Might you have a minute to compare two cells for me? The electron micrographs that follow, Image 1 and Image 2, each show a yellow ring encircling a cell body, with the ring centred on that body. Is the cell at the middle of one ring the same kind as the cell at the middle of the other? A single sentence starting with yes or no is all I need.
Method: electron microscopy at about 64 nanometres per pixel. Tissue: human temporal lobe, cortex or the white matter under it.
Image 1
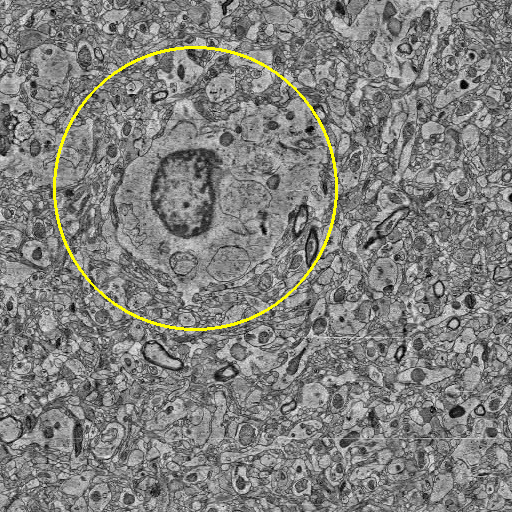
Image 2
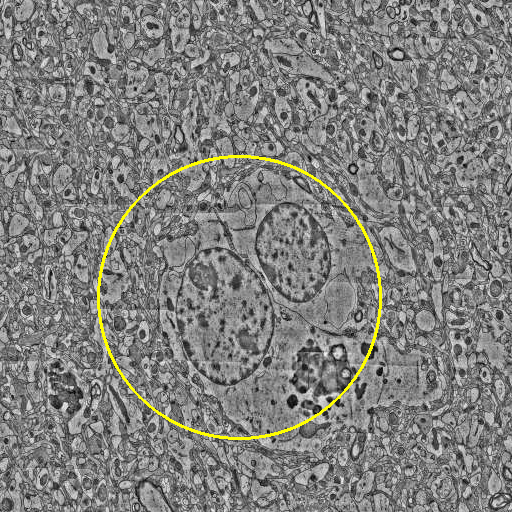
Yes, the cells in the middle of the two rings are of one shared kind.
